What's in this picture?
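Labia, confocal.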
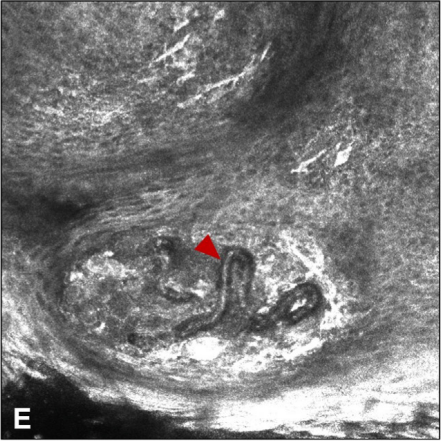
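In this greyscale view, grey epidermis with a fine cellular texture surrounds a rounded space bordered by bands of epithelium that curve around it. A few bright, branched cells lie in the epidermis above.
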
